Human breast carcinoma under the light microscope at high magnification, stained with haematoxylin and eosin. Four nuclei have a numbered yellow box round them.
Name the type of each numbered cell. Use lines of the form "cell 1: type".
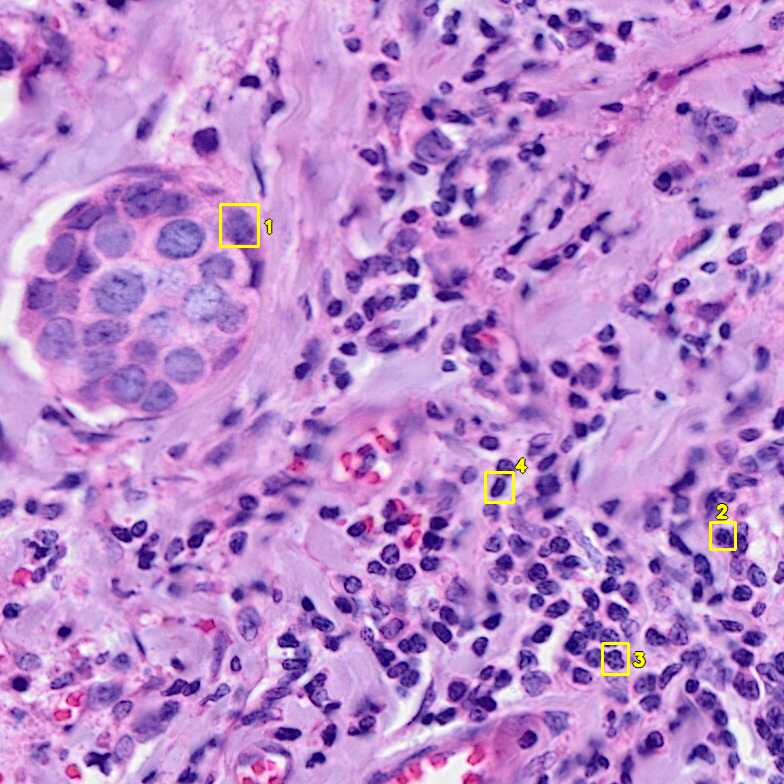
cell 1: carcinoma cell
cell 2: lymphocyte
cell 3: lymphocyte
cell 4: lymphocyte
